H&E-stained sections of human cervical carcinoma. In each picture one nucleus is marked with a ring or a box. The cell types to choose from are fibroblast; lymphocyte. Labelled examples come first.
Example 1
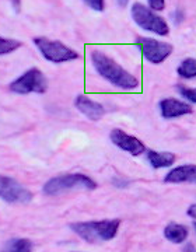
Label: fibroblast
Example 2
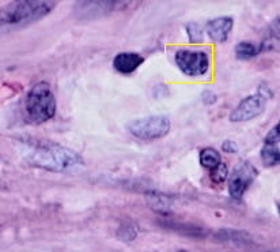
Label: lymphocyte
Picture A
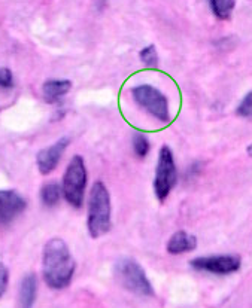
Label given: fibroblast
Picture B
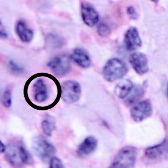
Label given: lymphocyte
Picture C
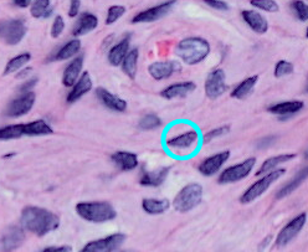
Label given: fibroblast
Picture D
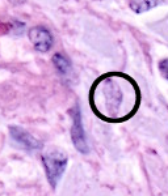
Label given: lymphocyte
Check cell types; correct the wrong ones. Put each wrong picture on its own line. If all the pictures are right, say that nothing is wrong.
D: fibroblast, not lymphocyte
